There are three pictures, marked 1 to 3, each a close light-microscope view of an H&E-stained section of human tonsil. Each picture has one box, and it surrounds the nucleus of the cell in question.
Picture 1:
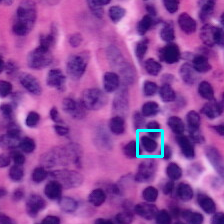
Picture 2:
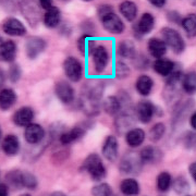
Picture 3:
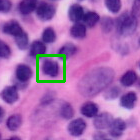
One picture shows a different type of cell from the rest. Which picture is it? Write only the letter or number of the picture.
3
